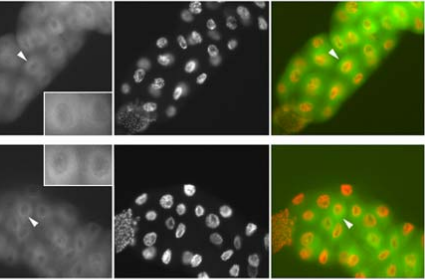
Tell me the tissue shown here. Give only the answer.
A: Salivary glands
